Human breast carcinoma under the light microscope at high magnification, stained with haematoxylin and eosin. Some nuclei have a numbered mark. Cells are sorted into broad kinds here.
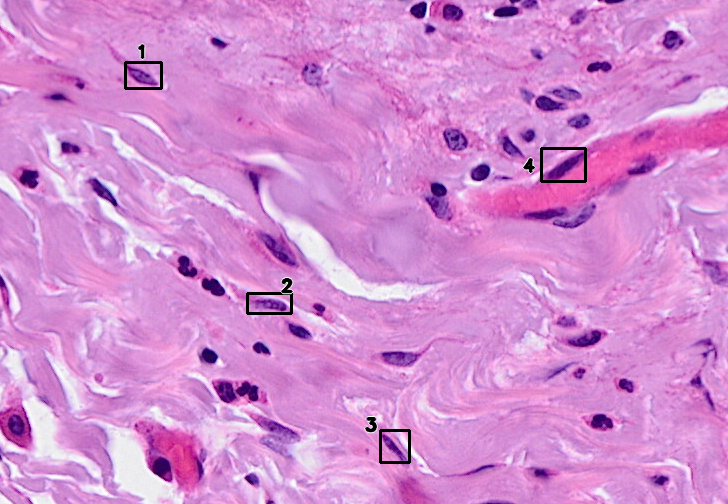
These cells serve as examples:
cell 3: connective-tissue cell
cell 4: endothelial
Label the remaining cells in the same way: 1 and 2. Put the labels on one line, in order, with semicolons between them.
connective-tissue cell; connective-tissue cell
